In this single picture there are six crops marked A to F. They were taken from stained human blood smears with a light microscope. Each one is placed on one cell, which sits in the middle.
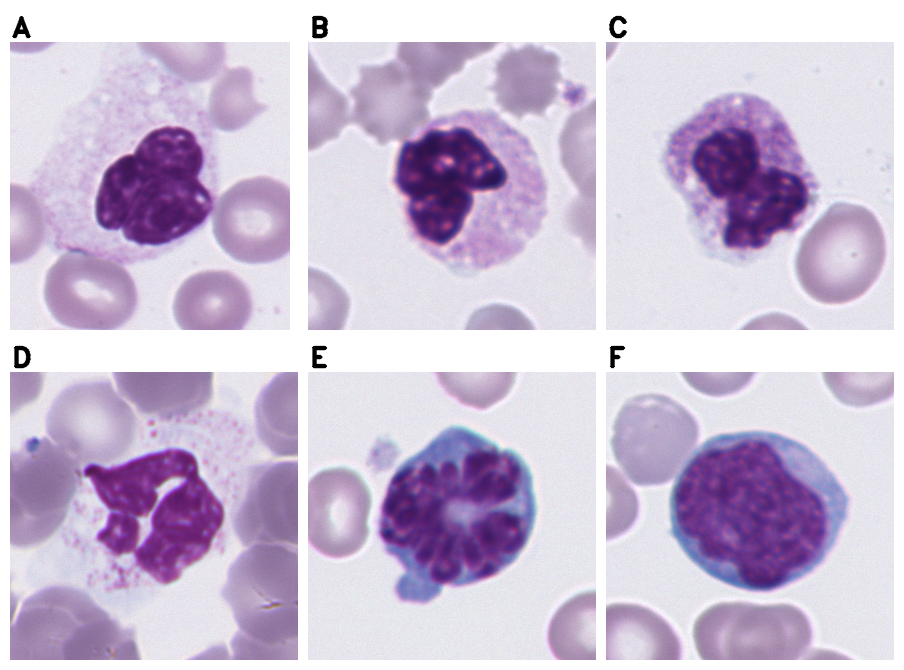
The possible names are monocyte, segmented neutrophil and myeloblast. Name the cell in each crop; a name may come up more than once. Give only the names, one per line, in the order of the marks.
segmented neutrophil
segmented neutrophil
segmented neutrophil
segmented neutrophil
myeloblast
myeloblast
